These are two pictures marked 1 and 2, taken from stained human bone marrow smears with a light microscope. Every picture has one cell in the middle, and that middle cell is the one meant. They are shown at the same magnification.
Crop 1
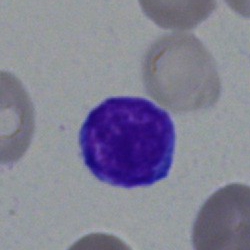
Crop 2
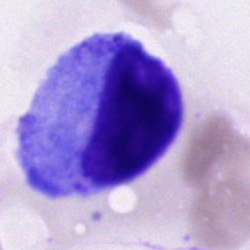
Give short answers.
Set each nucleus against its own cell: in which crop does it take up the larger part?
1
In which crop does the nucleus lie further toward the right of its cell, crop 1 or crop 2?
2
